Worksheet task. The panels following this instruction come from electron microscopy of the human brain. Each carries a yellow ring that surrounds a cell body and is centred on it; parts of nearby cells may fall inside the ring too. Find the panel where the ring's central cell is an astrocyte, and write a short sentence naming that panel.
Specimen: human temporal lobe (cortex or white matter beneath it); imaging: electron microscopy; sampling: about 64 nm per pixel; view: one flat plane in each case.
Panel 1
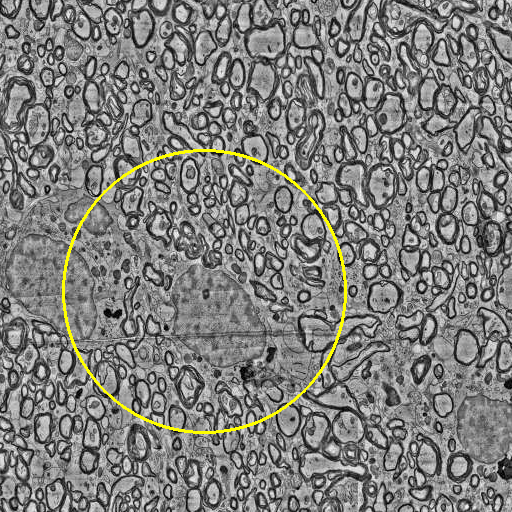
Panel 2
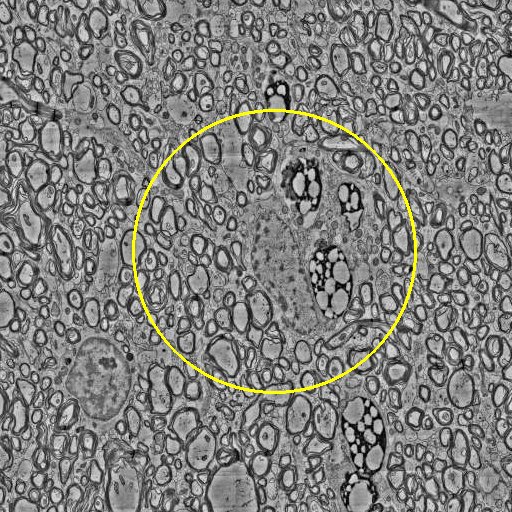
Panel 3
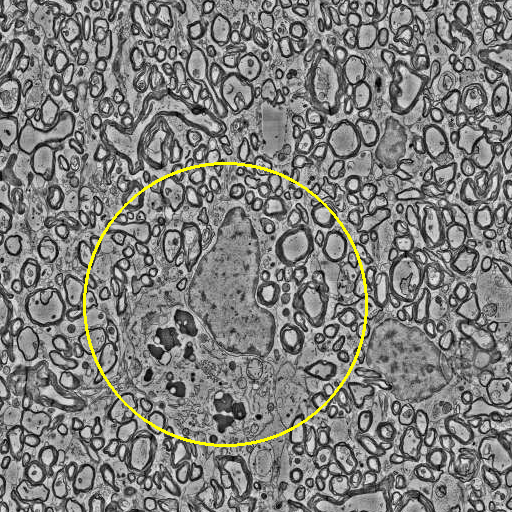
The cell sought is in Panel 2.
